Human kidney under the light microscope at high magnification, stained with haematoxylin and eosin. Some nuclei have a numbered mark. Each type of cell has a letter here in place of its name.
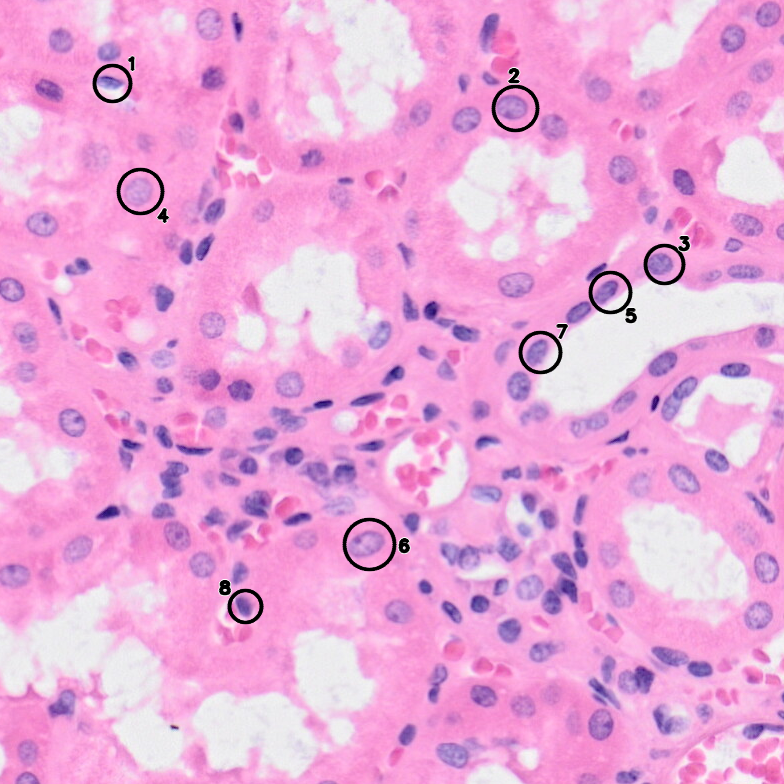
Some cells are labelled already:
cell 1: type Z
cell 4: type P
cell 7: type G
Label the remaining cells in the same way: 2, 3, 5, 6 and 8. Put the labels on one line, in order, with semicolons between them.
type P; type G; type G; type P; type Z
